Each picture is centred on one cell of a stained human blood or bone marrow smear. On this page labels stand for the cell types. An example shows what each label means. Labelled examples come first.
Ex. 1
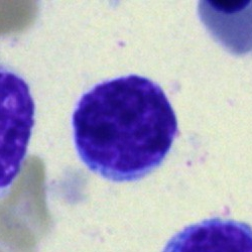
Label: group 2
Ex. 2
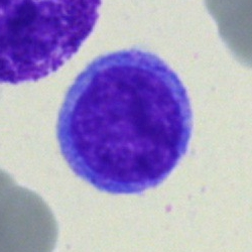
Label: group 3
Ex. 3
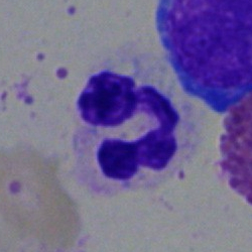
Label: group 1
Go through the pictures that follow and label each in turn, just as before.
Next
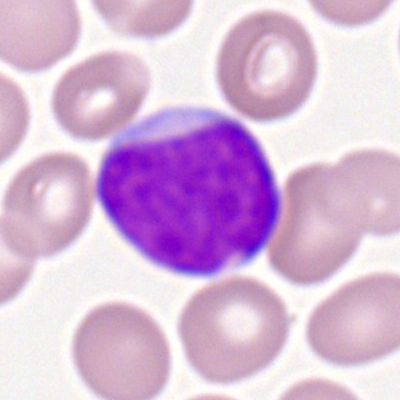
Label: group 3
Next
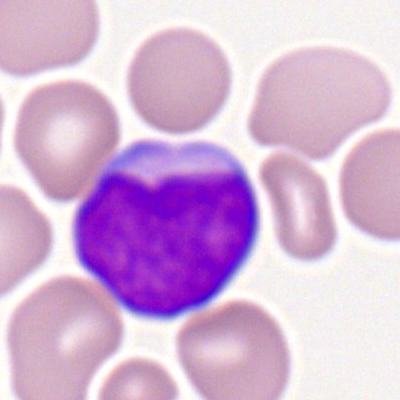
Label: group 3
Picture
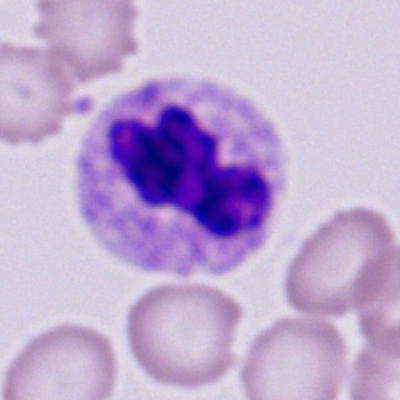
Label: group 1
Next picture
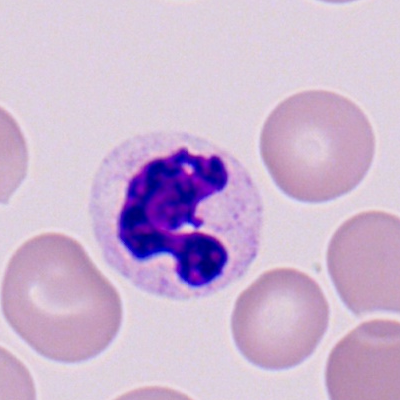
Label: group 1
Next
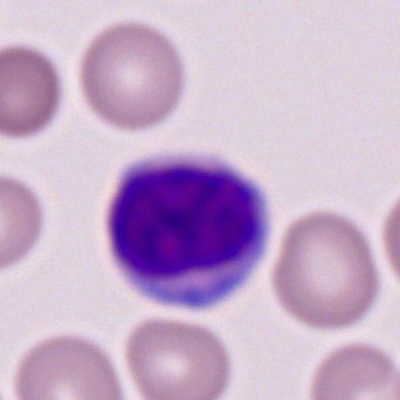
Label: group 2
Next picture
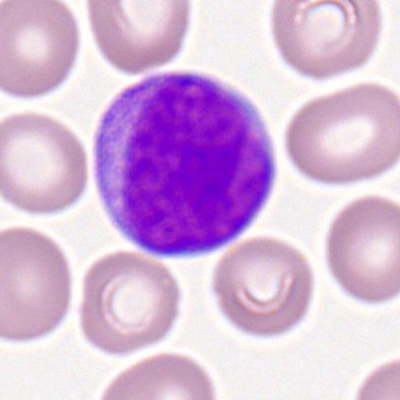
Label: group 3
